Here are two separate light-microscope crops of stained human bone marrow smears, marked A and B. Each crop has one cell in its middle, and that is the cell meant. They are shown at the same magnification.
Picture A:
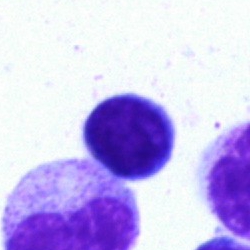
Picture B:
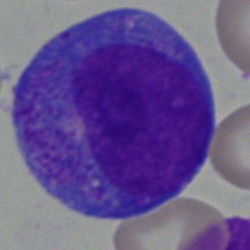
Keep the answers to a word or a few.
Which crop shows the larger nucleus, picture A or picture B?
B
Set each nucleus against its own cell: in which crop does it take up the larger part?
A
